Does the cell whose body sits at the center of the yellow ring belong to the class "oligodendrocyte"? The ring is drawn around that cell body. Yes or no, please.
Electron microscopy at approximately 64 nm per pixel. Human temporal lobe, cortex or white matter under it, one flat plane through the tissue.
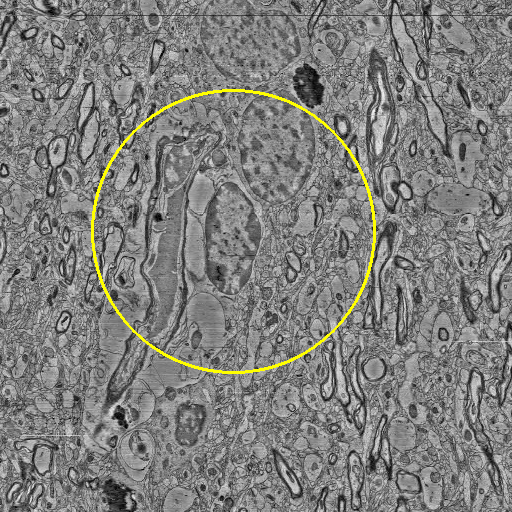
No, it belongs to another class.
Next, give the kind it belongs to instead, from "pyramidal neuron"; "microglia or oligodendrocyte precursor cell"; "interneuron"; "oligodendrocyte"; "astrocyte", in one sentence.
The cell shown in the ring is a microglial cell or oligodendrocyte precursor cell.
